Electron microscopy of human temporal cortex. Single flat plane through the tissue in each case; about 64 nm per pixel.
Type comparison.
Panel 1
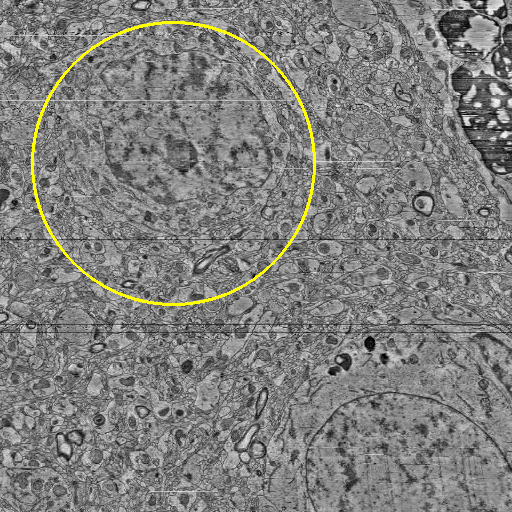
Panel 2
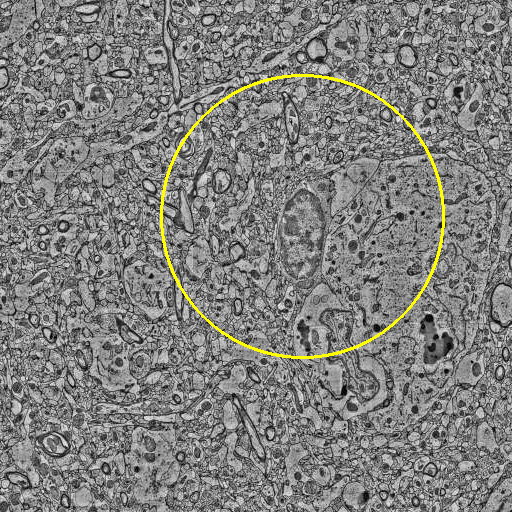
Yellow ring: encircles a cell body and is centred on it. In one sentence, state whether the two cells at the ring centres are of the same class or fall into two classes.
In these panels, the two cells at the ring centres fall into two classes.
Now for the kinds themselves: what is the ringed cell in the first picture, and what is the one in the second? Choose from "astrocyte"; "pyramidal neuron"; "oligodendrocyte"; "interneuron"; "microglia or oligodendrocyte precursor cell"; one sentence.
Here the first cell is an interneuron and the second cell is an oligodendrocyte.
